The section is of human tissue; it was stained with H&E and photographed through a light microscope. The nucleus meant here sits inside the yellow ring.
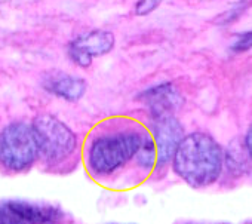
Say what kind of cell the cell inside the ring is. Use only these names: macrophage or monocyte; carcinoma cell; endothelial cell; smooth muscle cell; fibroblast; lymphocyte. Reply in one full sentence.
To be brief about it, the cell inside the ring is a carcinoma cell.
